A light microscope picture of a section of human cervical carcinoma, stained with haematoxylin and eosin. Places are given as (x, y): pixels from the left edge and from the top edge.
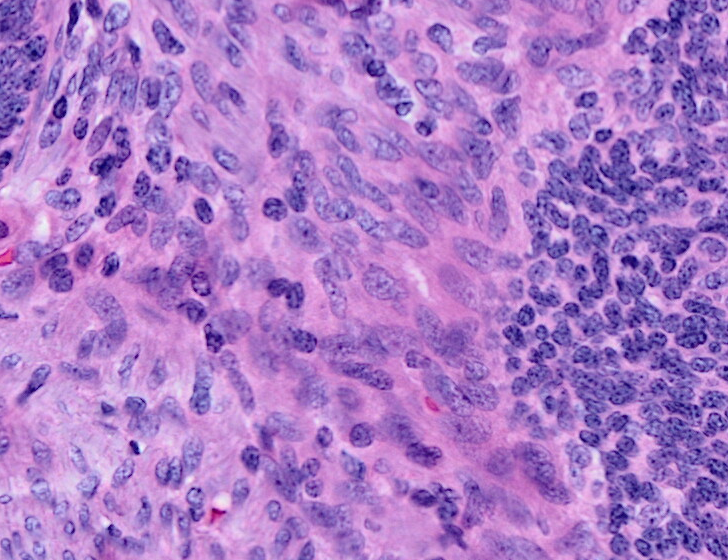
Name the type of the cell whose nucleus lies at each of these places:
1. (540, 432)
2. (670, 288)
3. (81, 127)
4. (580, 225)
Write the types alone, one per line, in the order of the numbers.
squamous carcinoma cell
squamous carcinoma cell
lymphocyte
squamous carcinoma cell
